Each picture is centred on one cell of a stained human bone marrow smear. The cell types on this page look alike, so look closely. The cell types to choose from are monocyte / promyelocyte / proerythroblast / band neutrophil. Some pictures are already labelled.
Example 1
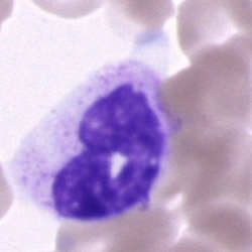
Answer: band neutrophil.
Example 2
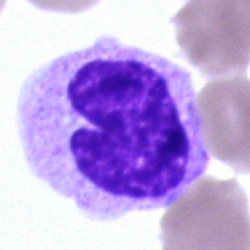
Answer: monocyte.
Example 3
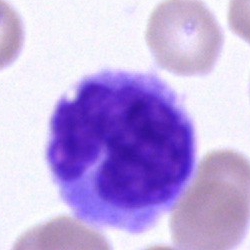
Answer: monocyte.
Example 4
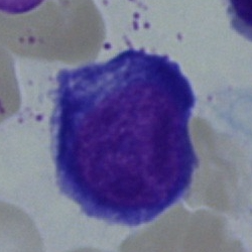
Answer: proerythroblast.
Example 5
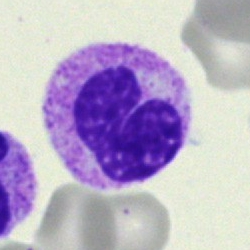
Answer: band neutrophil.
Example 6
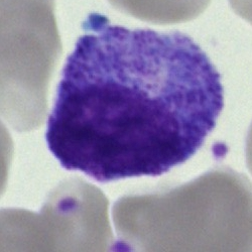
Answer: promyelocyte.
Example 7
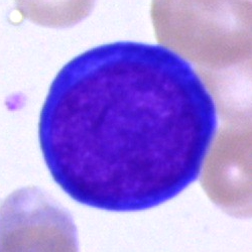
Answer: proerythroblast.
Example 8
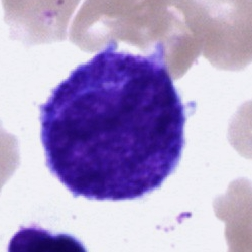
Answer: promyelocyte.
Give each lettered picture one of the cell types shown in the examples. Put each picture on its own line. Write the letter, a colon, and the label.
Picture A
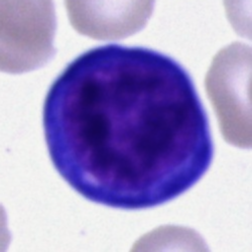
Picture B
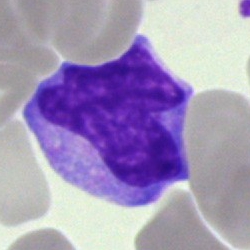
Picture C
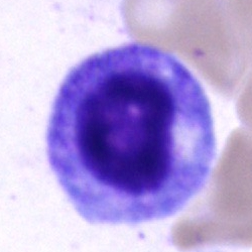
A: proerythroblast.
B: monocyte.
C: promyelocyte.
